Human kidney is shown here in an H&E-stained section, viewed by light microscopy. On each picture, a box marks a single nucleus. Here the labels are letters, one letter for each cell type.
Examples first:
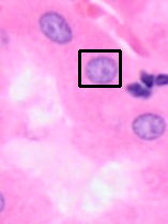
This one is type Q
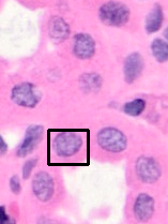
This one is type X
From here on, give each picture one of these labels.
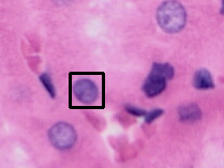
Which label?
type Q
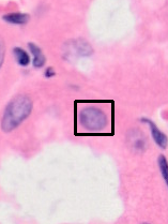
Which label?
type Q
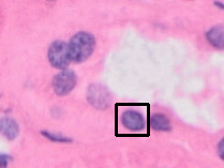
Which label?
type X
